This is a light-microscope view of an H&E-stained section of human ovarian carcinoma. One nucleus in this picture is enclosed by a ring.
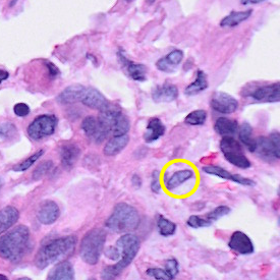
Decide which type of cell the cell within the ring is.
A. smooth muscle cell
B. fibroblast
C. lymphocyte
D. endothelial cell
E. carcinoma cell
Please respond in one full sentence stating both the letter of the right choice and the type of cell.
Among the choices, option B is correct, the cell within the ring being a fibroblast.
